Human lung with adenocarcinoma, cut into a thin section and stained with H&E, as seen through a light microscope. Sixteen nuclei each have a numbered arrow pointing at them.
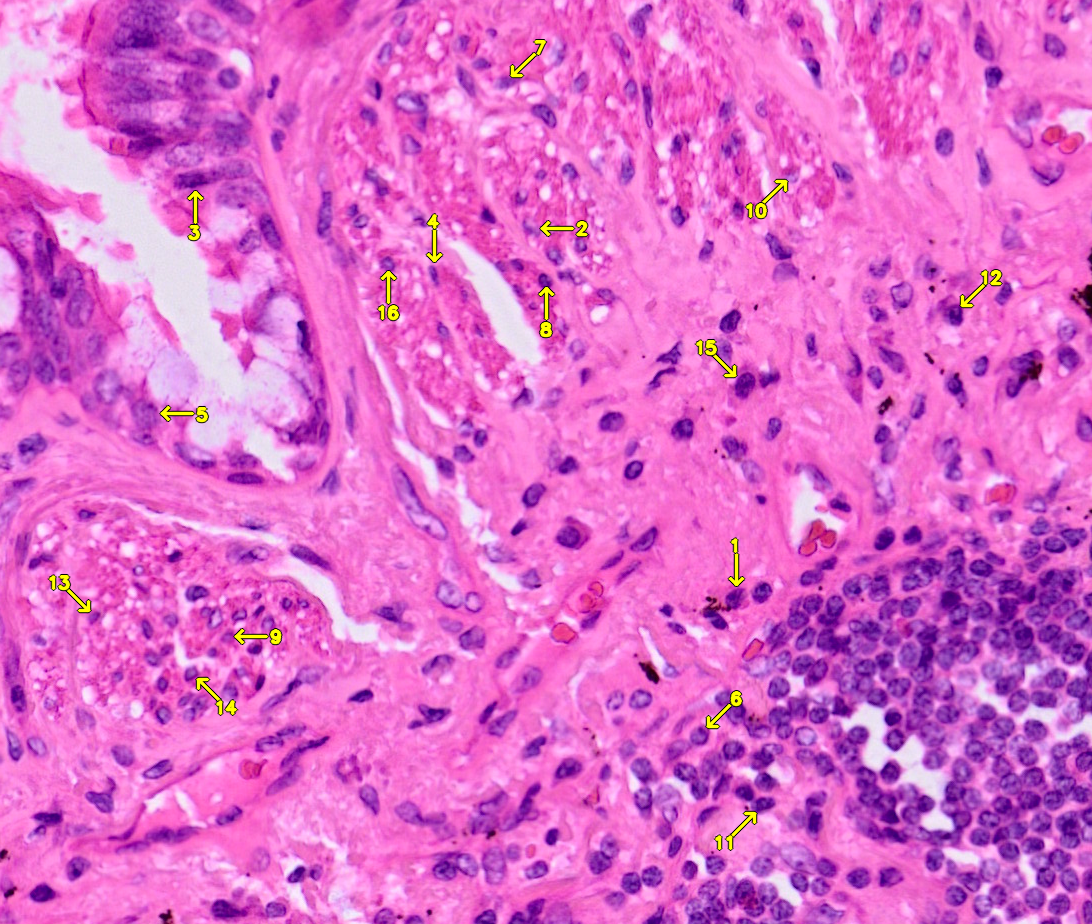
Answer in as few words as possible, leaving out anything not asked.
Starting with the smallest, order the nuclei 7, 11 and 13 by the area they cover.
13, 7, 11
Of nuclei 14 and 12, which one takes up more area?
12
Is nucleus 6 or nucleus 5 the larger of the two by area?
5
